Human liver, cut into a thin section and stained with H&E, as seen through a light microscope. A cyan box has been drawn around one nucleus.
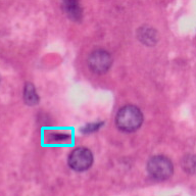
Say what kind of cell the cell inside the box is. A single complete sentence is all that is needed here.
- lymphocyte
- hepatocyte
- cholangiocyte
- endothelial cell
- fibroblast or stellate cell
As classified here, the cell inside the box is a fibroblast or stellate cell.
